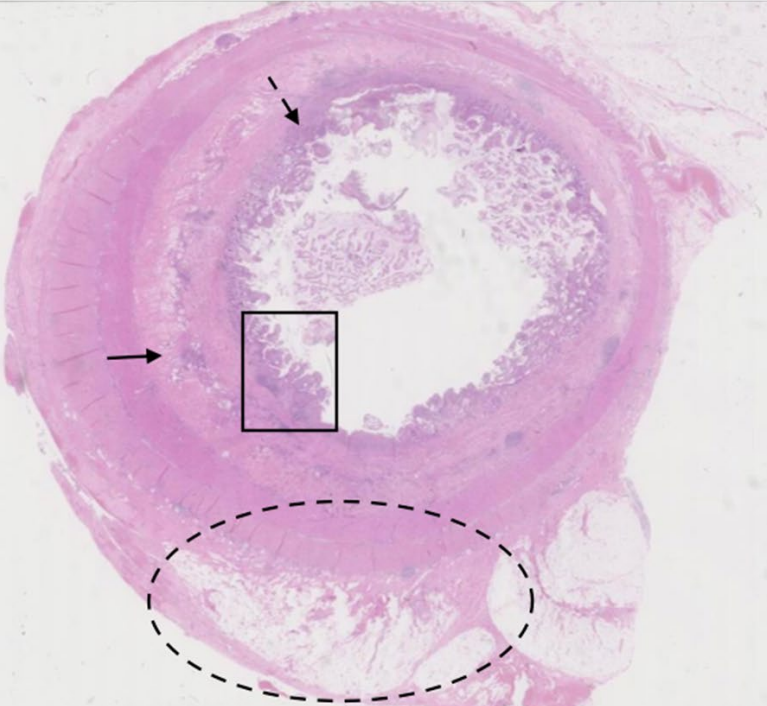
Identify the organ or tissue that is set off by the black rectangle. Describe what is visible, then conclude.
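The rectangle encloses the innermost purple layer lining the lumen. This layer is made of finger-like and gland-like purple structures facing the open central space. That points to this answer: mucosa.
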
